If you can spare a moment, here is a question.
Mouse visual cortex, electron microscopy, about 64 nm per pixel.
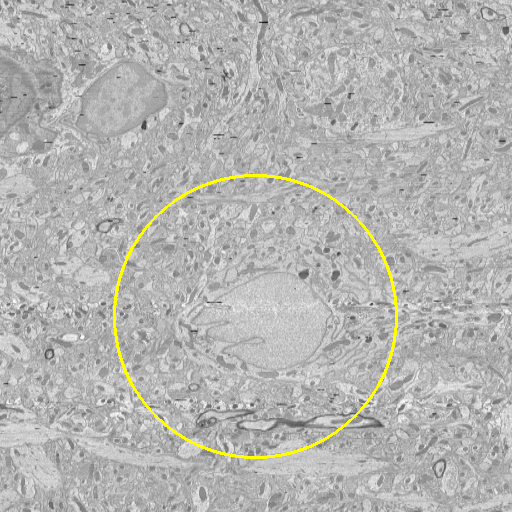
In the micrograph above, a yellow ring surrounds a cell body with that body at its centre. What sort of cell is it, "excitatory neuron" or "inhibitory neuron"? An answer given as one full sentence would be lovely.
Centred inside the yellow ring, the cell body shown belongs to an inhibitory neuron in this micrograph.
